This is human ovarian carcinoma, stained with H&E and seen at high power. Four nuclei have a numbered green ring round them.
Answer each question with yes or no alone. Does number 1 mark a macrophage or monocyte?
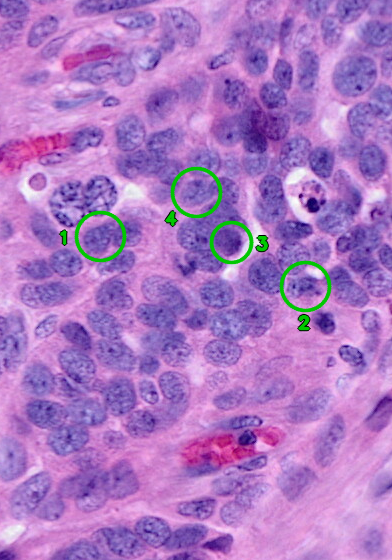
no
